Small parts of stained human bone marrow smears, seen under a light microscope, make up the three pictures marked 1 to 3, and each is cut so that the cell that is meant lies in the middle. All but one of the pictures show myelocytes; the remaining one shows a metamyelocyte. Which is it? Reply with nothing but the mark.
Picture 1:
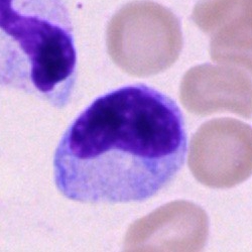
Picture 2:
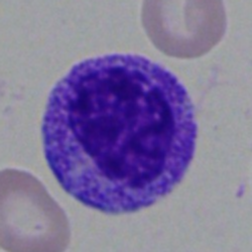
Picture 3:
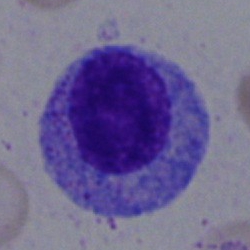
1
